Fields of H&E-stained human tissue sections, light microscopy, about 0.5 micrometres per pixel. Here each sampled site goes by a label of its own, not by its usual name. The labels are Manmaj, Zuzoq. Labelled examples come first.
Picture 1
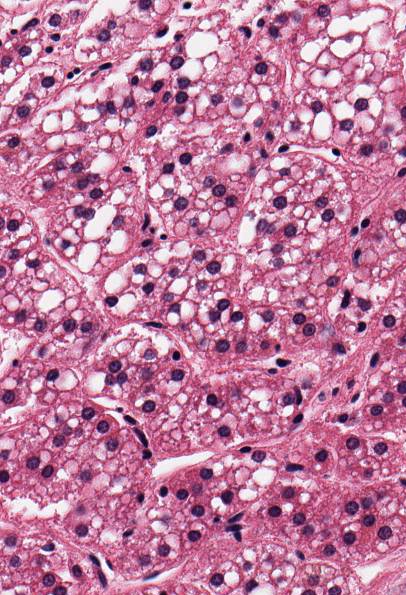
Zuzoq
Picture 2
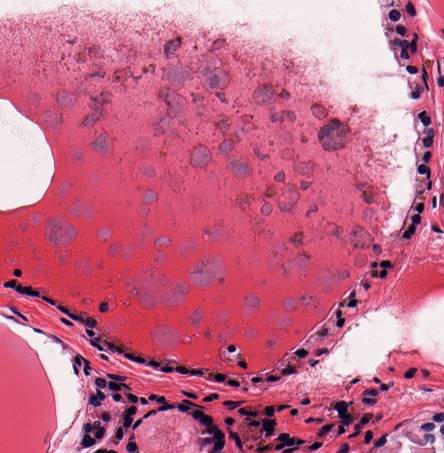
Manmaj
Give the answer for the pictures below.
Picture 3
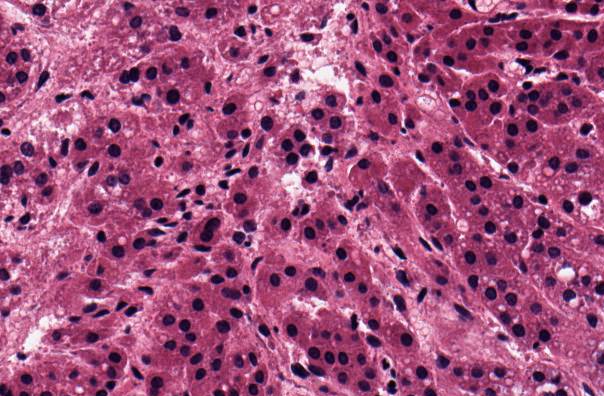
Zuzoq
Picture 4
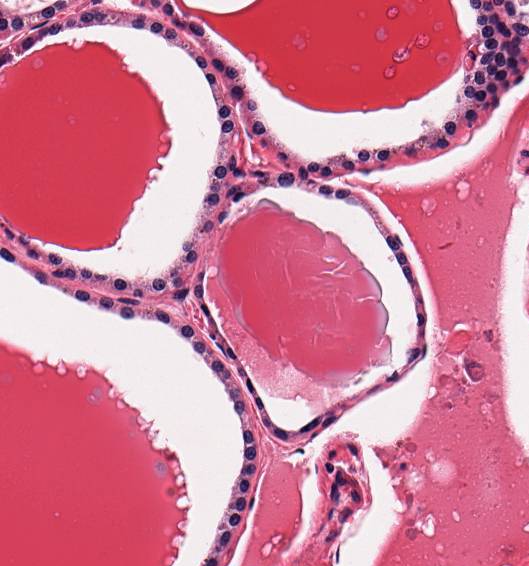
Manmaj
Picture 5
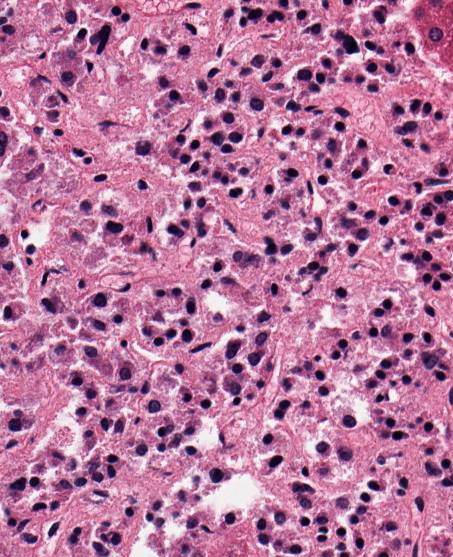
Zuzoq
